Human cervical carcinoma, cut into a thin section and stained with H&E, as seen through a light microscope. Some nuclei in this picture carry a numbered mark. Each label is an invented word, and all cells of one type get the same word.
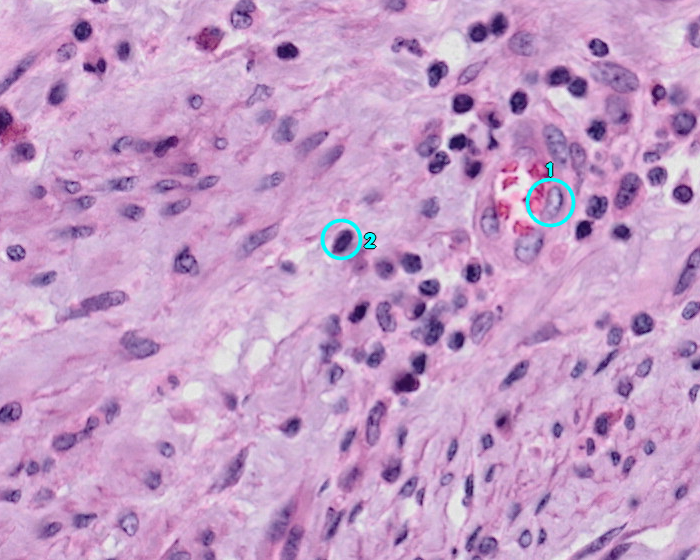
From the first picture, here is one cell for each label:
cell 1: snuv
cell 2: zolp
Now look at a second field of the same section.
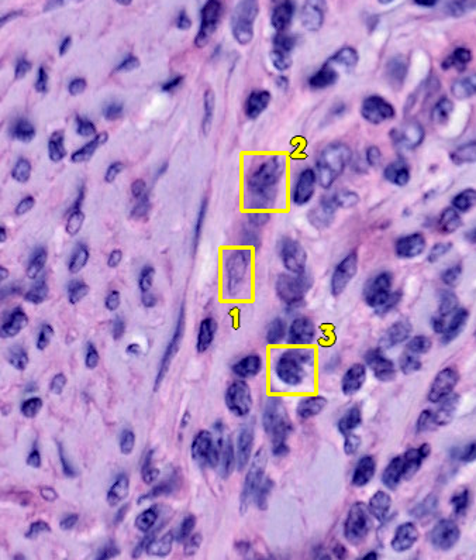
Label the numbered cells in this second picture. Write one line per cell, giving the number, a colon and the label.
1: snuv
2: snuv
3: zolp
